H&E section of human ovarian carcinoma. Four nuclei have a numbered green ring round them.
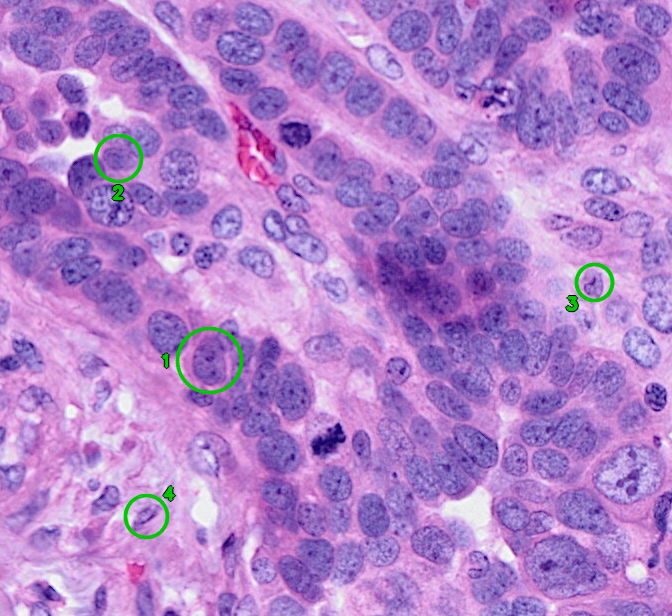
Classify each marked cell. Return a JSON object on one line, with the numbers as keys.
{"1": "carcinoma cell", "2": "carcinoma cell", "3": "macrophage or monocyte", "4": "fibroblast"}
